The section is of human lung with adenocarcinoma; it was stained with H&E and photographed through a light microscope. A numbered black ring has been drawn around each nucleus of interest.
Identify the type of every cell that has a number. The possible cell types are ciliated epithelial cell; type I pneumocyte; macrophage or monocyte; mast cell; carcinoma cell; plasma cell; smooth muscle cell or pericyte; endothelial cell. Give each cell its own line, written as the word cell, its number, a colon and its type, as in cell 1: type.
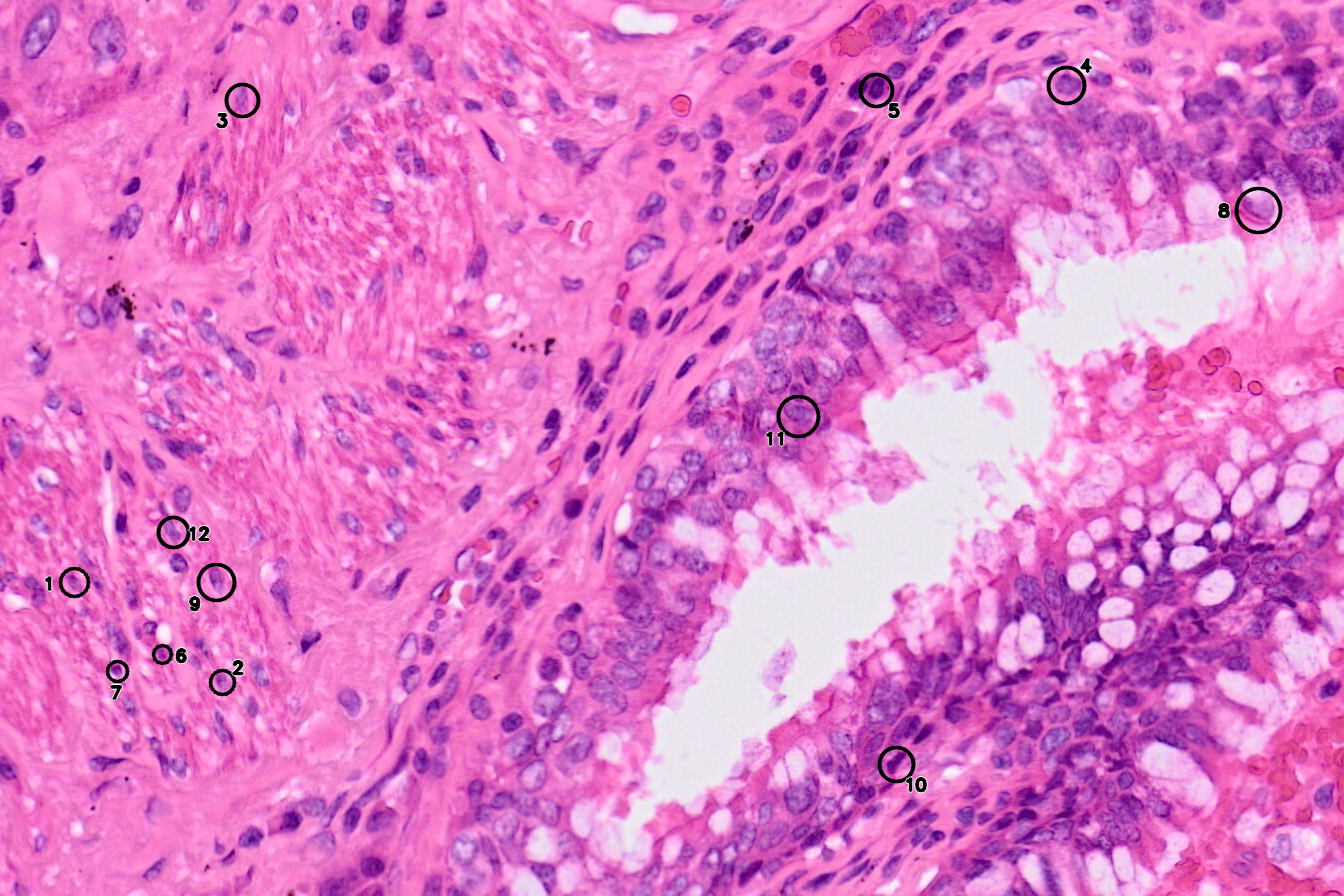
cell 1: smooth muscle cell or pericyte
cell 2: smooth muscle cell or pericyte
cell 3: smooth muscle cell or pericyte
cell 4: ciliated epithelial cell
cell 5: plasma cell
cell 6: smooth muscle cell or pericyte
cell 7: smooth muscle cell or pericyte
cell 8: ciliated epithelial cell
cell 9: smooth muscle cell or pericyte
cell 10: ciliated epithelial cell
cell 11: ciliated epithelial cell
cell 12: smooth muscle cell or pericyte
